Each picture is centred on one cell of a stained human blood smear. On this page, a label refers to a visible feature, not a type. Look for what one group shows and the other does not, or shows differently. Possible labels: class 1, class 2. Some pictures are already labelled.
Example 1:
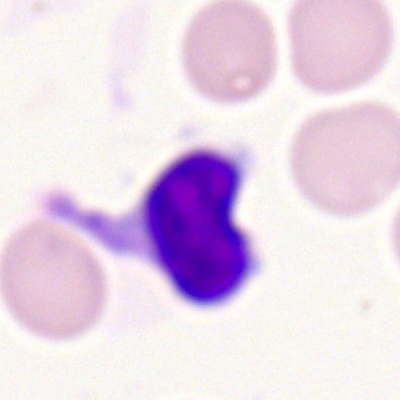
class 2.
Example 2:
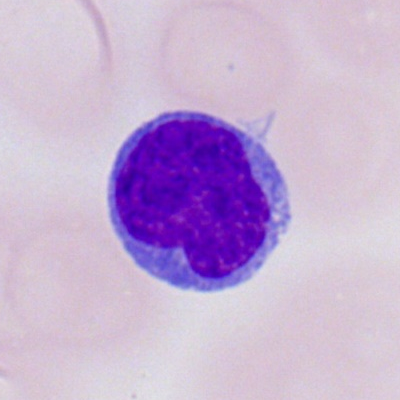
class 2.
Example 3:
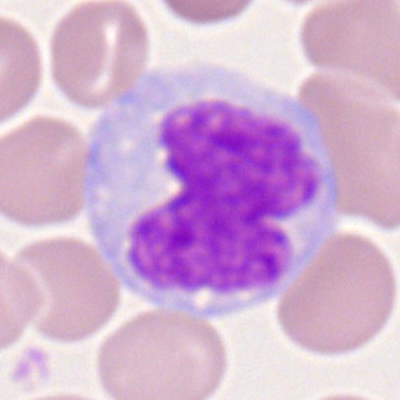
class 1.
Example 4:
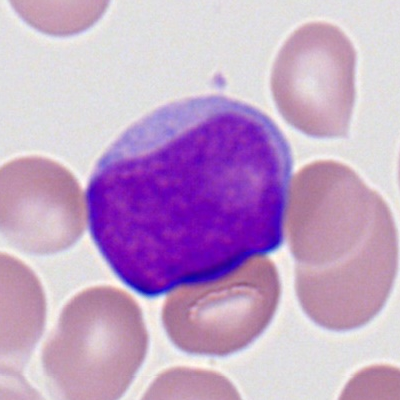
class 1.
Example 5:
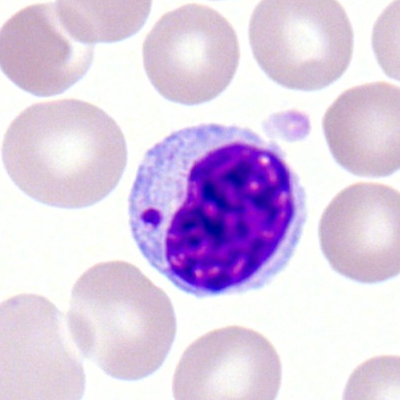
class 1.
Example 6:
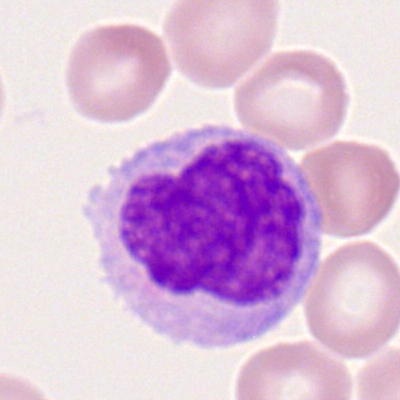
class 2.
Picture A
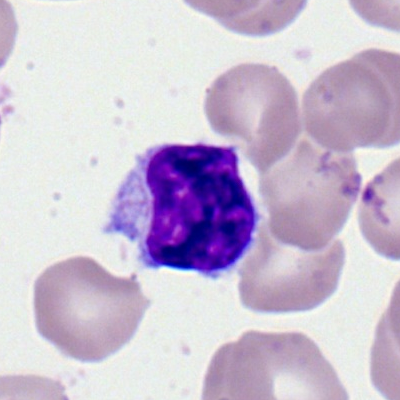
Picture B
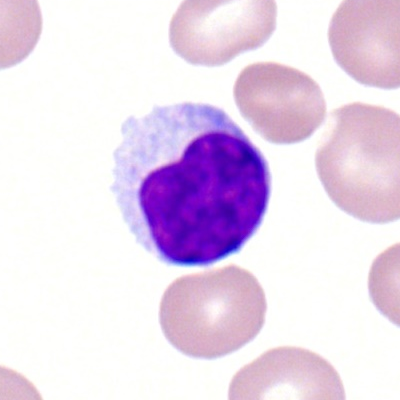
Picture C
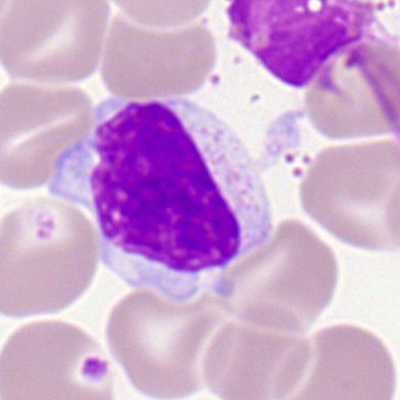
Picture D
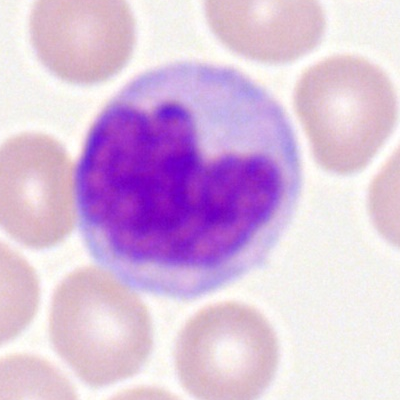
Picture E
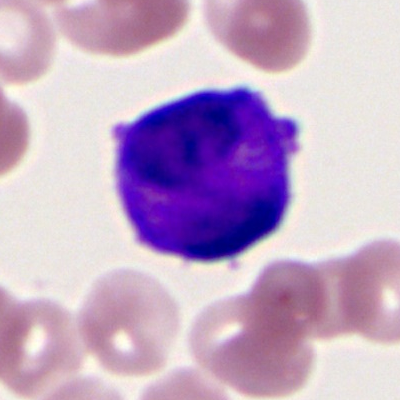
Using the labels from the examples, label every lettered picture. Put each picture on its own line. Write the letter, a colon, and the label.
A: class 2.
B: class 2.
C: class 2.
D: class 1.
E: class 2.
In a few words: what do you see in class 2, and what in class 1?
class 2, ragged outline or projections; class 1, smooth outline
